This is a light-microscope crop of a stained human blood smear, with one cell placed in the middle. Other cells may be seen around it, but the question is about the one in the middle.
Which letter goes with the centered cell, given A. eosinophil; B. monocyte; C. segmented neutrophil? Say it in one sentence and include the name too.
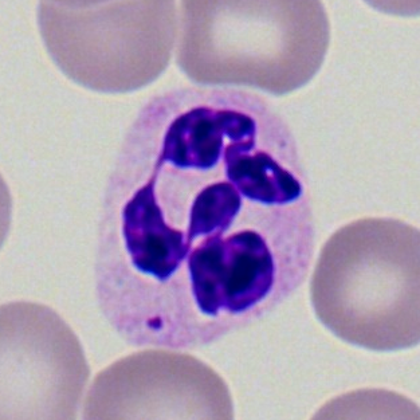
What sits in the middle of the crop is a segmented neutrophil, and option C is correct.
